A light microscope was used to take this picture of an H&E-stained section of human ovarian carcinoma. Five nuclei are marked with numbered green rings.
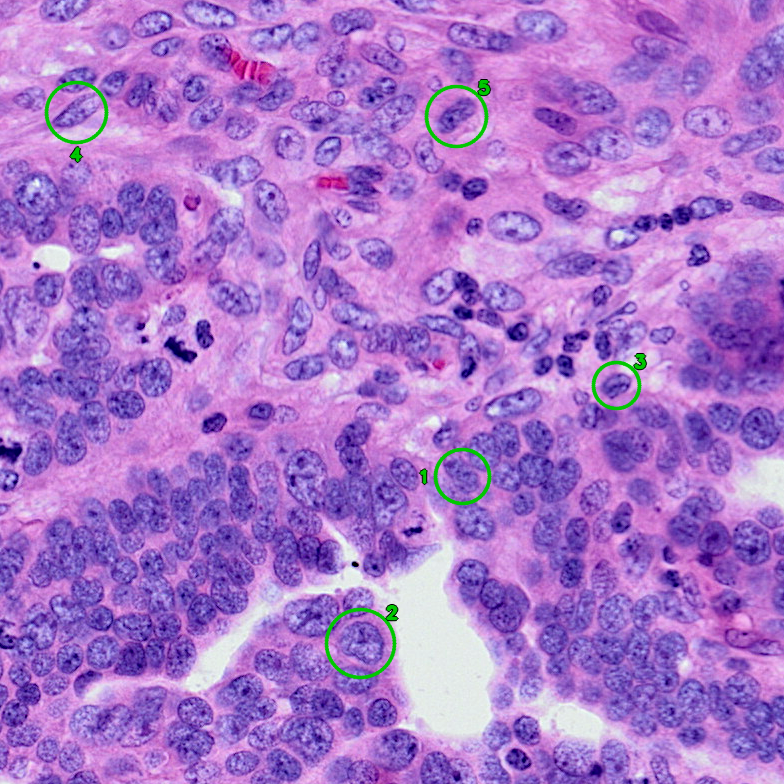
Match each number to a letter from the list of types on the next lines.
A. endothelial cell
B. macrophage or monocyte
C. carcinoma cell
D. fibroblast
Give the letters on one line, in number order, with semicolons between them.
C; C; B; D; B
